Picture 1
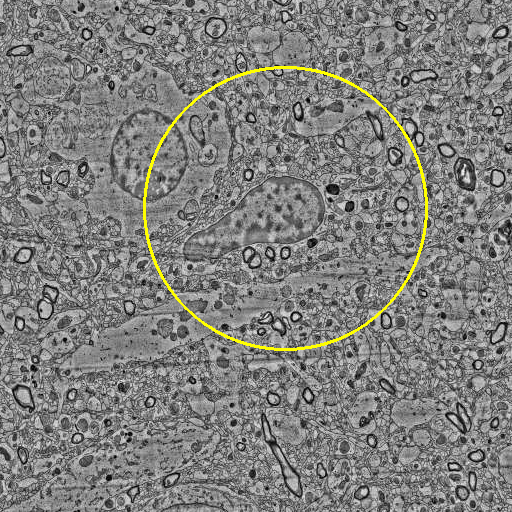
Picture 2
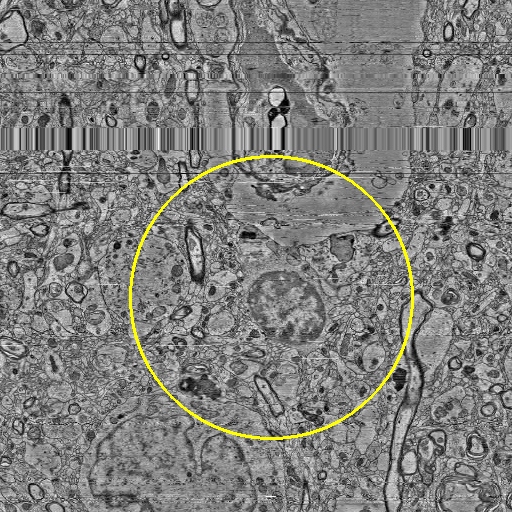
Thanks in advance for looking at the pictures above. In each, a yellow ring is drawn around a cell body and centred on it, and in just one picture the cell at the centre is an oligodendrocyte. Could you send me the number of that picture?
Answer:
2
